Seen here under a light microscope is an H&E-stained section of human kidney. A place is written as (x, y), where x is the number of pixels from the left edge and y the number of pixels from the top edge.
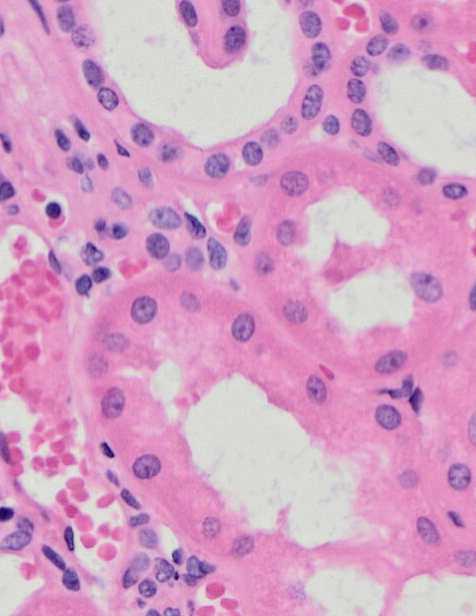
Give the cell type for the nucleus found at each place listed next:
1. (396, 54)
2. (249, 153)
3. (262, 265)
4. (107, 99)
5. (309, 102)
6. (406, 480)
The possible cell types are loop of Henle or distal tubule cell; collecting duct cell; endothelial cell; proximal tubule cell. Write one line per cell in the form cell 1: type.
cell 1: collecting duct cell
cell 2: collecting duct cell
cell 3: proximal tubule cell
cell 4: collecting duct cell
cell 5: collecting duct cell
cell 6: proximal tubule cell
